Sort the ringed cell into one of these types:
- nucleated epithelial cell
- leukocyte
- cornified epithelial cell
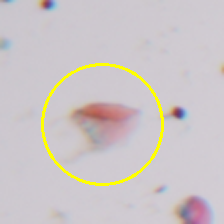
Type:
cornified epithelial cell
